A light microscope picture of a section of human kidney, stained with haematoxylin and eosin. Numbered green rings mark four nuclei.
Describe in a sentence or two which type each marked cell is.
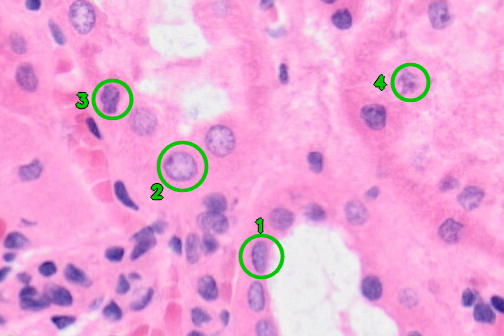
Cell 1 is a loop of Henle or distal tubule cell. Cells 2, 3 and 4 are proximal tubule cells.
